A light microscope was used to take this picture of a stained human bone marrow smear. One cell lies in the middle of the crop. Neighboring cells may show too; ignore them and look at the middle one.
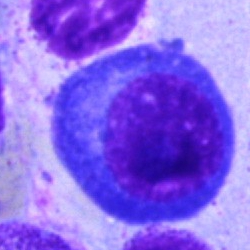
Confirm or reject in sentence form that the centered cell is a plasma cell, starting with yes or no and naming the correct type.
Yes, the cell that occupies the centre is a plasma cell.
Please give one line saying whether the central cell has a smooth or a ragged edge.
As for its outline, the cell is irregular, ragged or drawn into projections.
